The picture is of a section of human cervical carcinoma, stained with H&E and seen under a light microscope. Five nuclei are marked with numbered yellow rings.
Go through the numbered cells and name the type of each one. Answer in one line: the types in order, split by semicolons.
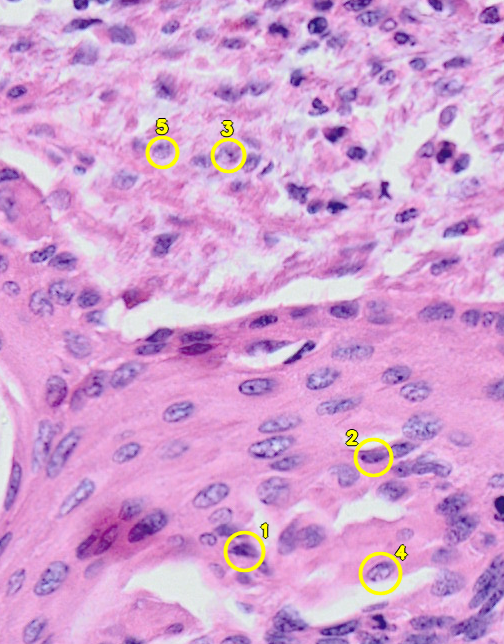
squamous carcinoma cell; squamous carcinoma cell; fibroblast; squamous carcinoma cell; fibroblast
